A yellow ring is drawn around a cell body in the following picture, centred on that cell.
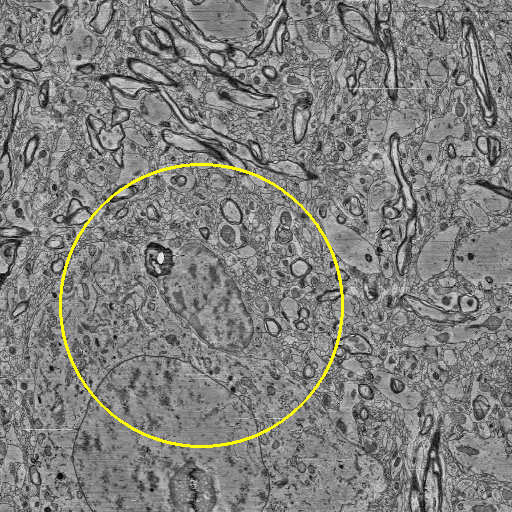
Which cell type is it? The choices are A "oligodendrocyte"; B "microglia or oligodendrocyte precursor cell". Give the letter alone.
A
